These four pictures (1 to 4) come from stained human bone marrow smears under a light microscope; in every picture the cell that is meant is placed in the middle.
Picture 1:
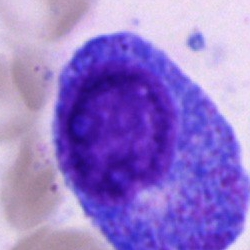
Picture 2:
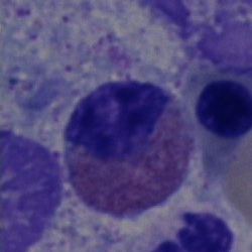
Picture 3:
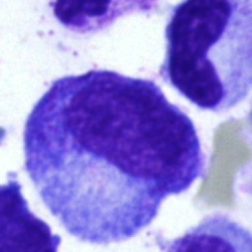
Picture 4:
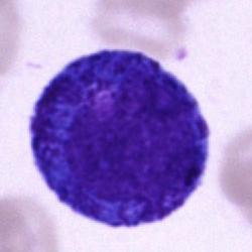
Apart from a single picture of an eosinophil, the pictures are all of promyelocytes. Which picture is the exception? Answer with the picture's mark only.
2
